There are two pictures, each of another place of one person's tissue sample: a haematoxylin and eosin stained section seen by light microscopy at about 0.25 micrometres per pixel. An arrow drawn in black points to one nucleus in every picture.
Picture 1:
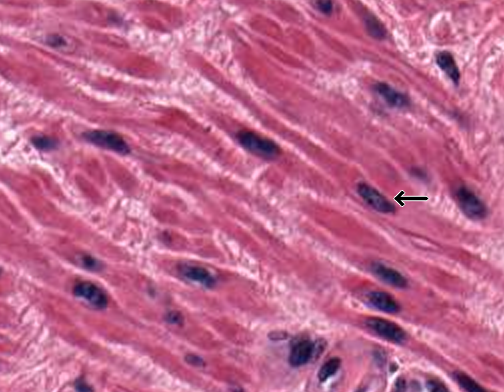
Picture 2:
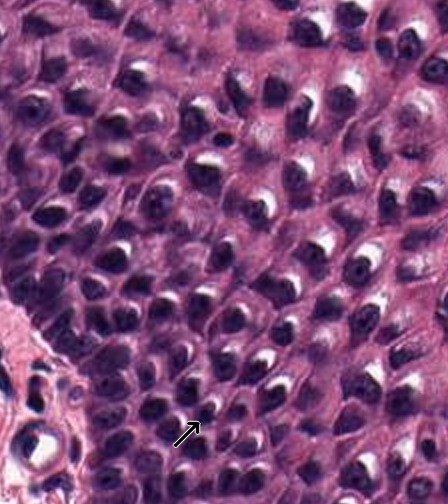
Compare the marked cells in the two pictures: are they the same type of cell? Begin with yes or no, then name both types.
No, the first is a smooth muscle cell and the second a squamous epithelial cell.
